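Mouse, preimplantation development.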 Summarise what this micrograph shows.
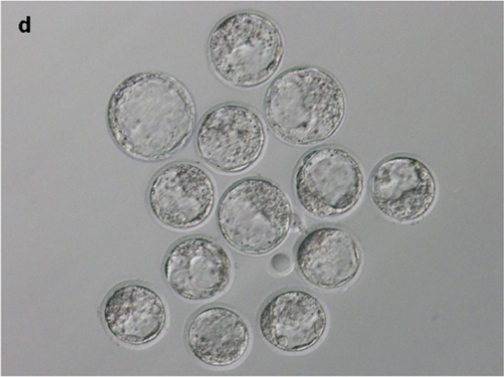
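A denser cluster of cells lies against one side of the cavity. The blastocysts vary somewhat in size and in how far the cavity has expanded.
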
